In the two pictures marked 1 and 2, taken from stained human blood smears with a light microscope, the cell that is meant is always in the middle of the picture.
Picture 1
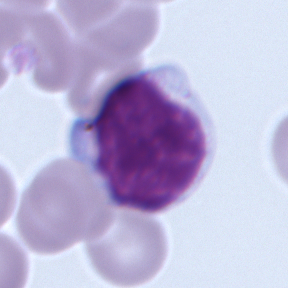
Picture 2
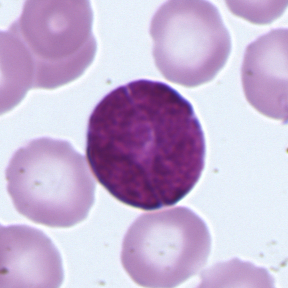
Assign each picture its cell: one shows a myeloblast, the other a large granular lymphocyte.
1: large granular lymphocyte
2: myeloblast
